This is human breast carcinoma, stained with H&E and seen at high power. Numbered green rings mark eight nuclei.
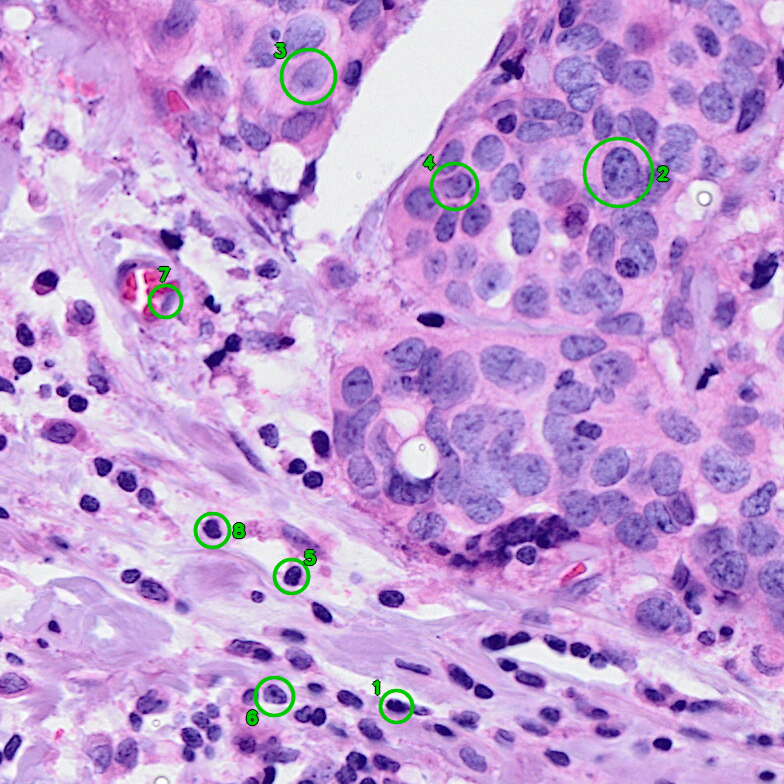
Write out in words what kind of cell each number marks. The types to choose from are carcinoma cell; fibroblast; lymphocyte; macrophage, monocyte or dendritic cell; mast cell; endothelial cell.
Cells 1, 5, 6 and 8 are lymphocytes. Cells 2, 3 and 4 are carcinoma cells. Cell 7 is an endothelial cell.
